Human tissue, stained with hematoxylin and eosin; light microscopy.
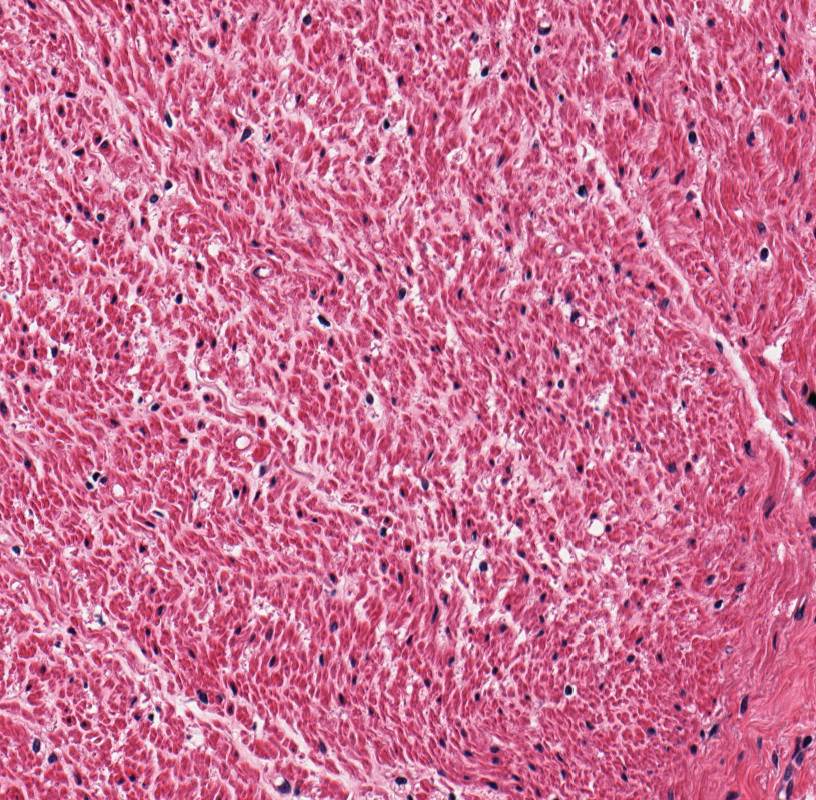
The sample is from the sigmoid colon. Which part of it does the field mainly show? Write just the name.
smooth muscle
